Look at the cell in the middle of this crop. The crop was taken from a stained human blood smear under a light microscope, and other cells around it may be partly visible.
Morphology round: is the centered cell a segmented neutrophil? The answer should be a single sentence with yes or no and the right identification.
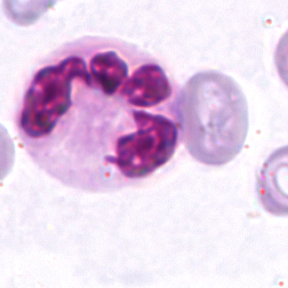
Yes, a segmented neutrophil is present in the middle of the crop.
